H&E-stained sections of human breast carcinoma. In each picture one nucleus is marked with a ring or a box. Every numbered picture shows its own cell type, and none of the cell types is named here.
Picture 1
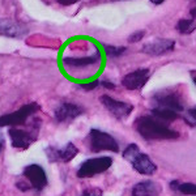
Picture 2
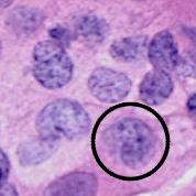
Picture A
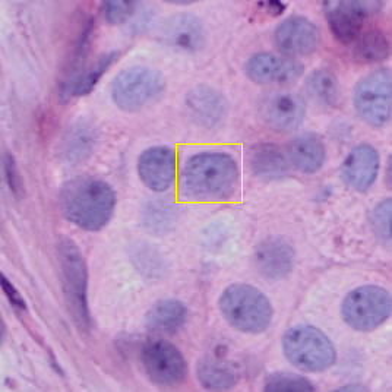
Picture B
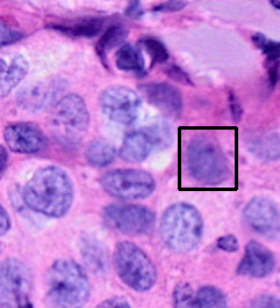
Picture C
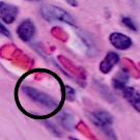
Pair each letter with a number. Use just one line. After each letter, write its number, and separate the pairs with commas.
A 2, B 2, C 1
